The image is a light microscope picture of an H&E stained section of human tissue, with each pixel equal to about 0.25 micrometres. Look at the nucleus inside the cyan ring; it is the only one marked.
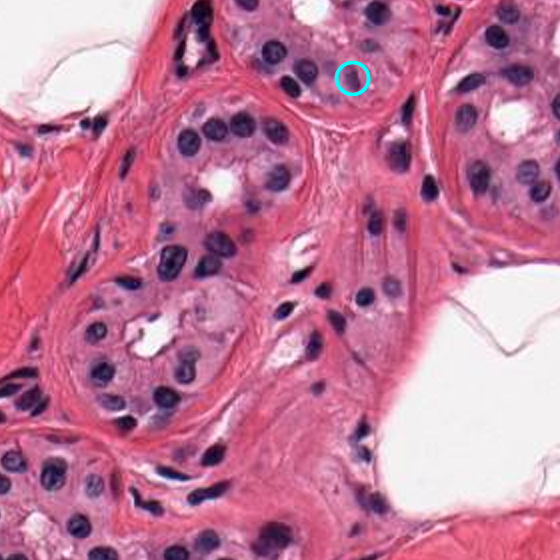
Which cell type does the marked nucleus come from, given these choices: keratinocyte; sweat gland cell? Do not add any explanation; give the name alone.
sweat gland cell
